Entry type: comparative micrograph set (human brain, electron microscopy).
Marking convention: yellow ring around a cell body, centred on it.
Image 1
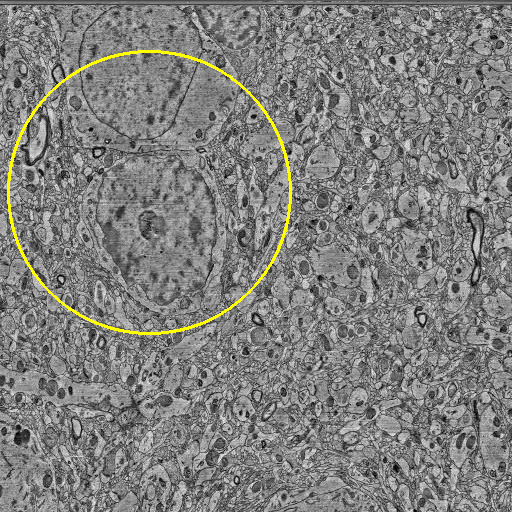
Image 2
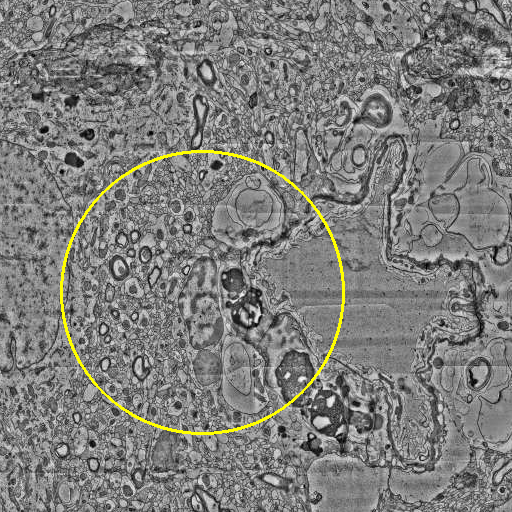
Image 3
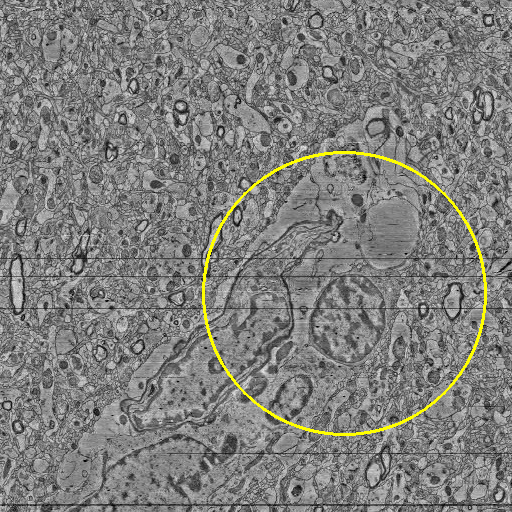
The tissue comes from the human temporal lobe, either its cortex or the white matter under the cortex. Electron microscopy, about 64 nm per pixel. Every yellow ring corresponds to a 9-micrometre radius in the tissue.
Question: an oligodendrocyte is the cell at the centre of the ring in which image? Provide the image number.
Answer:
3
